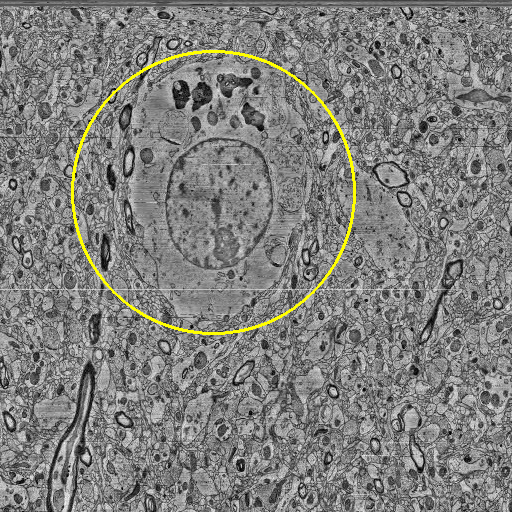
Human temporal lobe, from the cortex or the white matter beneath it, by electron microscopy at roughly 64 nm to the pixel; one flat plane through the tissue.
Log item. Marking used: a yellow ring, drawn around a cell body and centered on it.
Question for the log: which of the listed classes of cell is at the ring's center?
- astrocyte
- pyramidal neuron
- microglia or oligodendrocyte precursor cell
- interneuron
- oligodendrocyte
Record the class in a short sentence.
At the center of the ring lies an astrocyte.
